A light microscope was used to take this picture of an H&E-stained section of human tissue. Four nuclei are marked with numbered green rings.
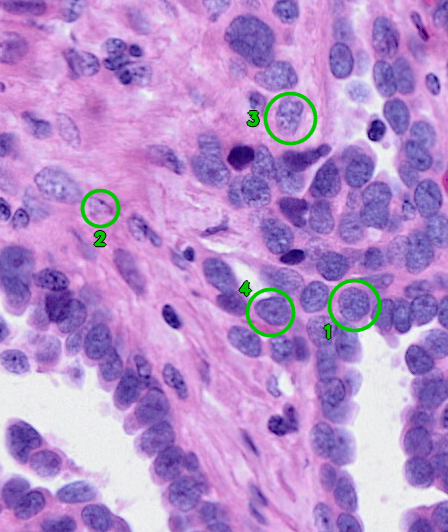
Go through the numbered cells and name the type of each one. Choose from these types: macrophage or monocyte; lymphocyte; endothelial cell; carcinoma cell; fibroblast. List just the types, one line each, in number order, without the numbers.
carcinoma cell
fibroblast
fibroblast
carcinoma cell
